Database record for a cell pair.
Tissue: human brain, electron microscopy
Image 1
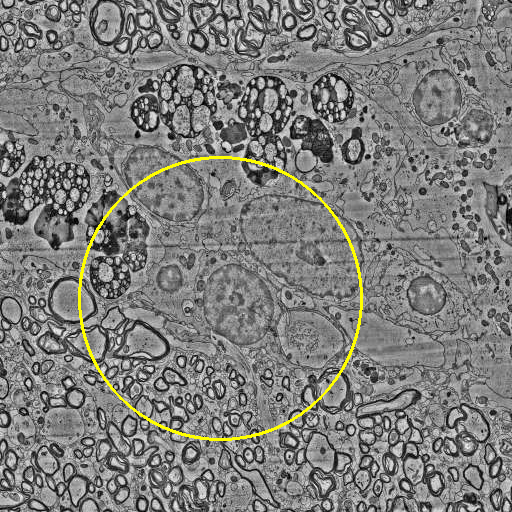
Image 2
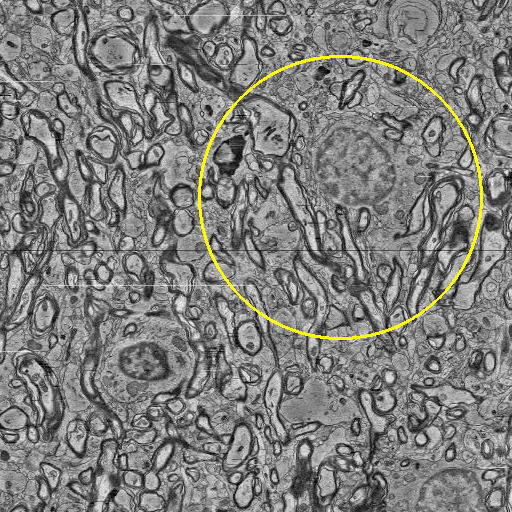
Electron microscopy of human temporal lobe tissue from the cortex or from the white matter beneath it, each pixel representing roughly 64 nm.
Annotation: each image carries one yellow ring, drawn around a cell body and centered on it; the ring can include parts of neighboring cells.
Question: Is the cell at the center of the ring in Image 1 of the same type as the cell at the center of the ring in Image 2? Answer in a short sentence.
Yes, the cells are of the same type.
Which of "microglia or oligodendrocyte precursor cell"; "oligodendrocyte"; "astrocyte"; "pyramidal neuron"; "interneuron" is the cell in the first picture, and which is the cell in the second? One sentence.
Each cell at the centre of a ring is an oligodendrocyte.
